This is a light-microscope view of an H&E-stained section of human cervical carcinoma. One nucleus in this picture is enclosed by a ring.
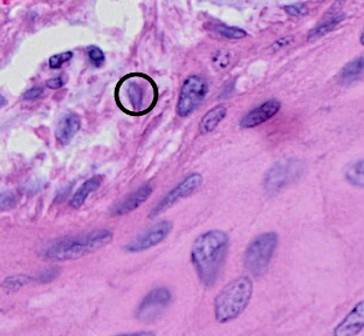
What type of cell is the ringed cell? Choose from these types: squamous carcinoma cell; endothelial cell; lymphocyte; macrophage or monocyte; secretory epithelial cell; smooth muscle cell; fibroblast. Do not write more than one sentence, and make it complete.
The cell type of the ringed cell is that of a fibroblast.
